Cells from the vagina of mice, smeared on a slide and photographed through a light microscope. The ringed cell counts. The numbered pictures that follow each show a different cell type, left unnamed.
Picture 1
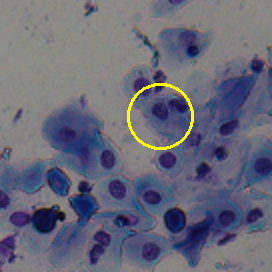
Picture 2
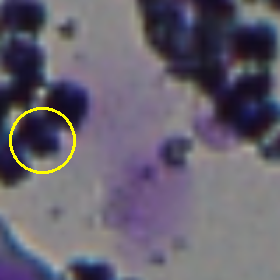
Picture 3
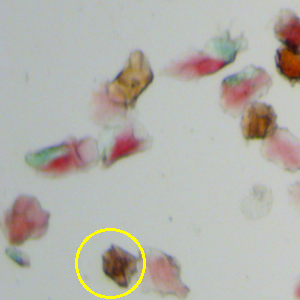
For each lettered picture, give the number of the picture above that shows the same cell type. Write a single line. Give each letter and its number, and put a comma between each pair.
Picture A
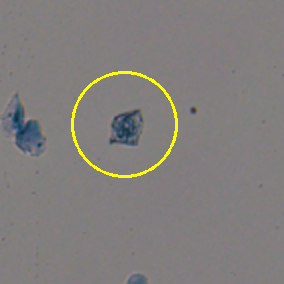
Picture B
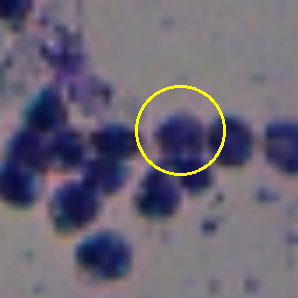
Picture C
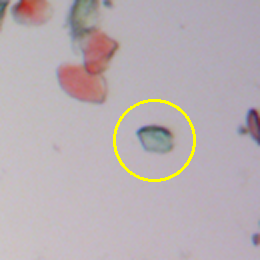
A 3, B 2, C 3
